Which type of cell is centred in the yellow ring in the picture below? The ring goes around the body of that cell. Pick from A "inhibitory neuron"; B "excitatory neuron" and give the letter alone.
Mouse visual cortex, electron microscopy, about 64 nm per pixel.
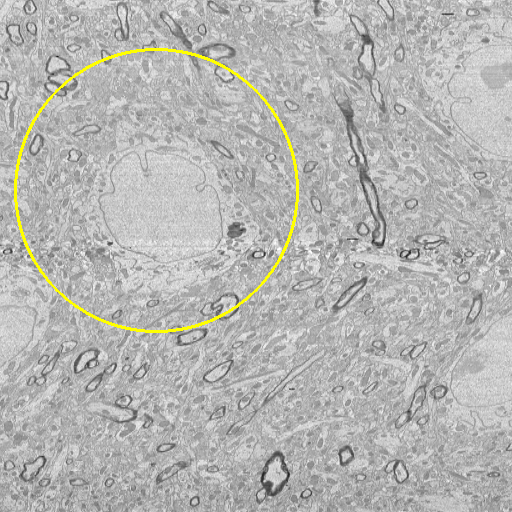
B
